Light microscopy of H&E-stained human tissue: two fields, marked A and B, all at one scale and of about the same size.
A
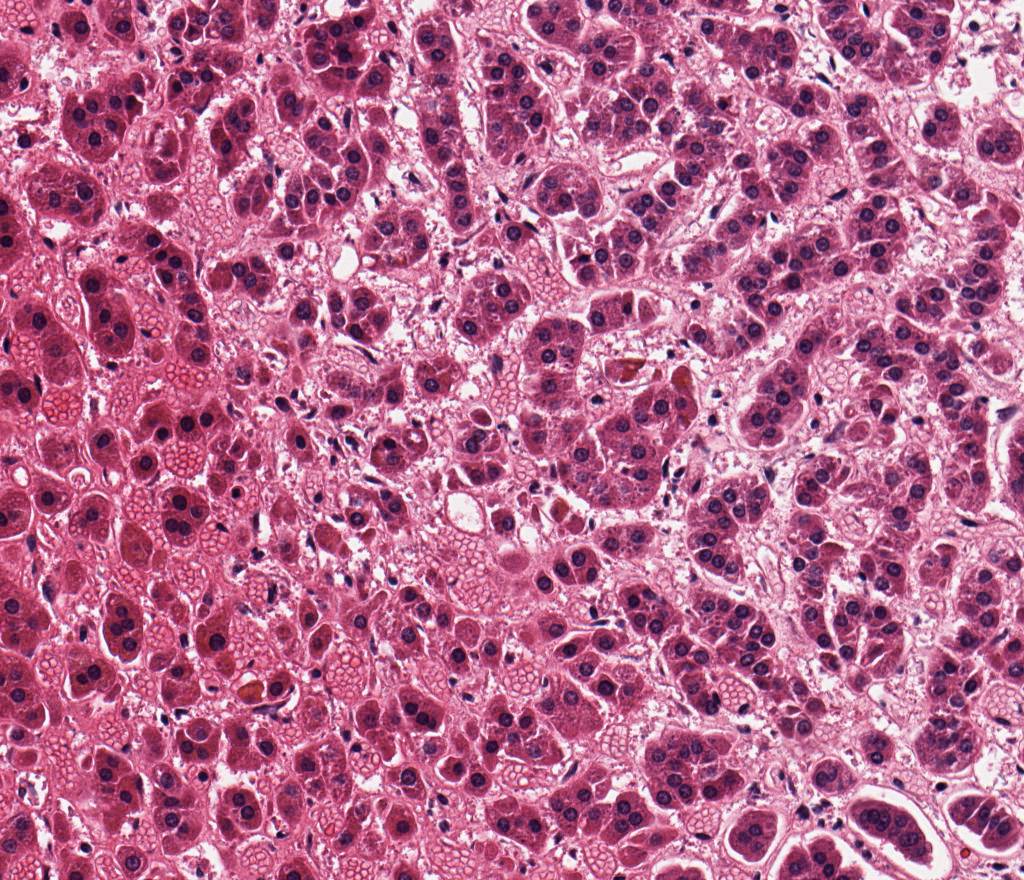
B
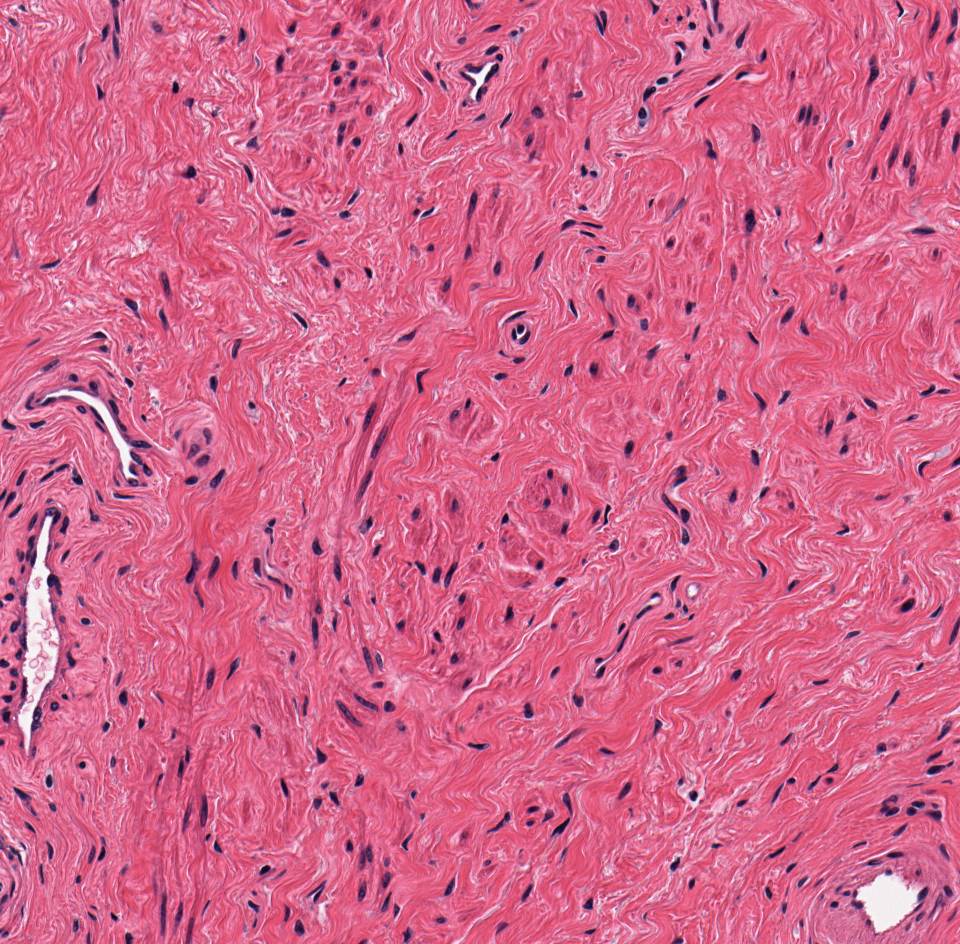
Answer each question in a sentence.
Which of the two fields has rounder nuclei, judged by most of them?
On the whole the nuclei of picture A are rounder than those of picture B.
